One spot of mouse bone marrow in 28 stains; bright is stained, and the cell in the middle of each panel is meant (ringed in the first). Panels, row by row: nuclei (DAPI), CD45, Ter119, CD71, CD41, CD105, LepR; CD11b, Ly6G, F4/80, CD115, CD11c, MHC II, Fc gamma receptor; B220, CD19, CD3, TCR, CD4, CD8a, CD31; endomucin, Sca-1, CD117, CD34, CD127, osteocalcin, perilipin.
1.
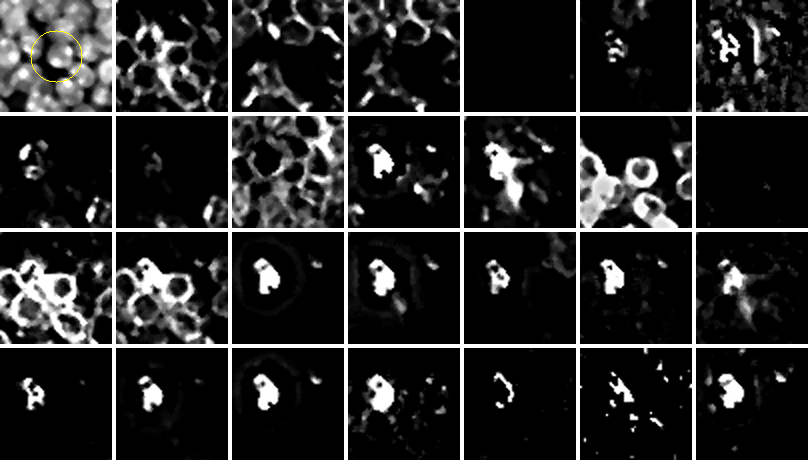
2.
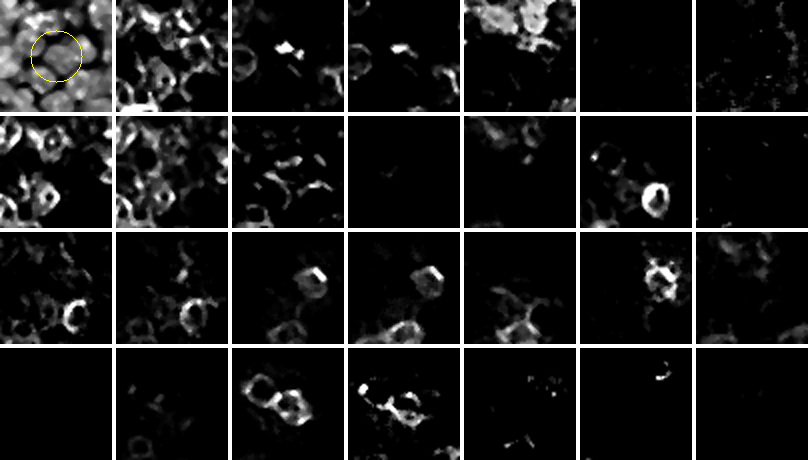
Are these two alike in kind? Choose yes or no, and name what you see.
No. First a conventional dendritic cell, second a megakaryocyte-erythroid progenitor.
